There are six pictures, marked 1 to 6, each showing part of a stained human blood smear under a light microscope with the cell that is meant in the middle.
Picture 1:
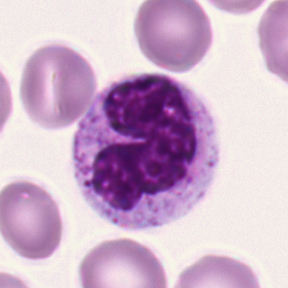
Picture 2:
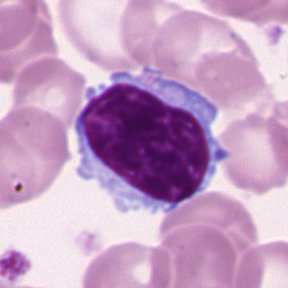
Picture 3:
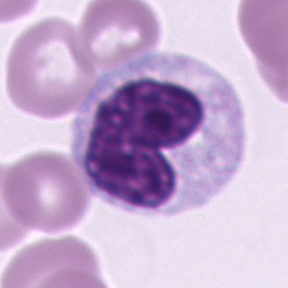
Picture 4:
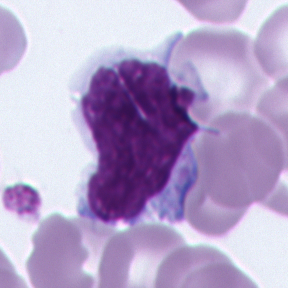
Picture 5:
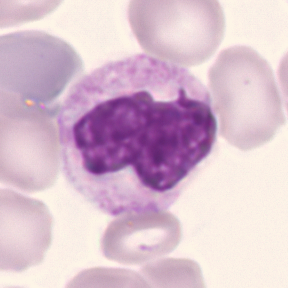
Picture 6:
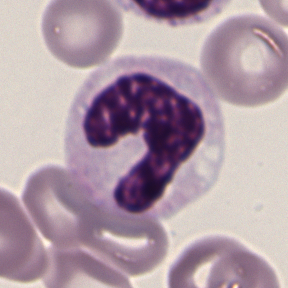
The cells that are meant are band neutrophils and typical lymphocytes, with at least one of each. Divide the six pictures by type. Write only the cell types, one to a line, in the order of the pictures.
band neutrophil
typical lymphocyte
band neutrophil
typical lymphocyte
band neutrophil
band neutrophil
